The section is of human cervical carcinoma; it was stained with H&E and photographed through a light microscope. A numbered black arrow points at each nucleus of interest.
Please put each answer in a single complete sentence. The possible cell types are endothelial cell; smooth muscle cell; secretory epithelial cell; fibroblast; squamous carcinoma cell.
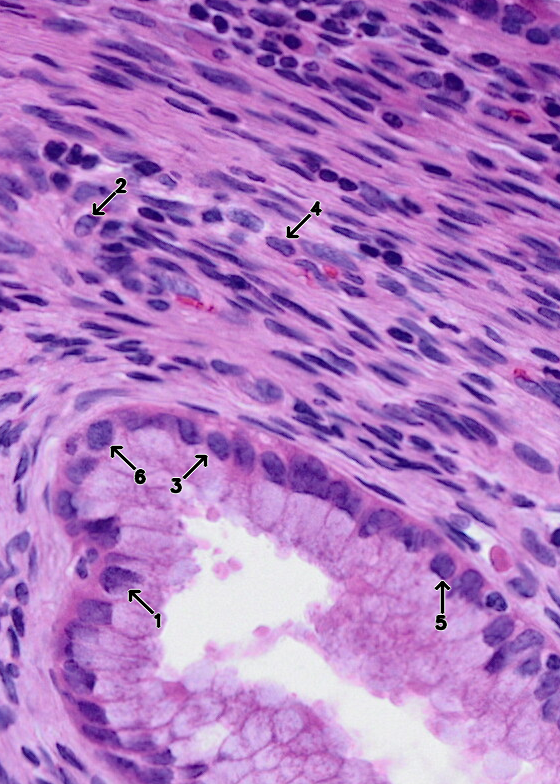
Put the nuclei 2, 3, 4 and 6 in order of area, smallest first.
Smallest first, the nuclei run 2, 4, 3, 6.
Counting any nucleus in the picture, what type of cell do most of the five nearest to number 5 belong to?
Most of the five nuclei nearest to number 5 are those of secretory epithelial cells.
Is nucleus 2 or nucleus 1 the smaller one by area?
Nucleus 2 is the smaller one; nucleus 1 covers about 3 times its area.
